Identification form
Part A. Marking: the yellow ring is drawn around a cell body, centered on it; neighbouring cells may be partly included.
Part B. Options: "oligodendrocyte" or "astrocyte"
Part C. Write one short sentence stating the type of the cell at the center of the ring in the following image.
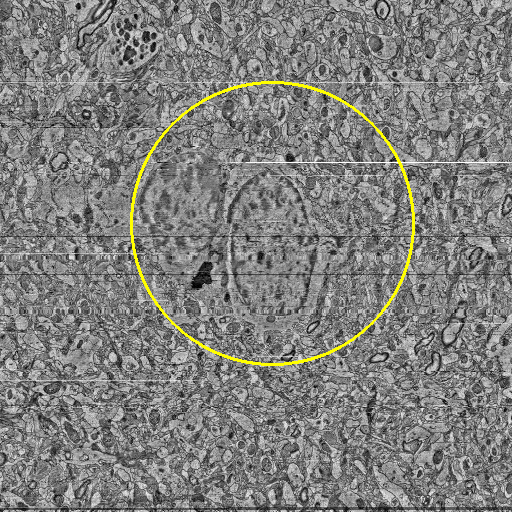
The center of the ring holds an astrocyte.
